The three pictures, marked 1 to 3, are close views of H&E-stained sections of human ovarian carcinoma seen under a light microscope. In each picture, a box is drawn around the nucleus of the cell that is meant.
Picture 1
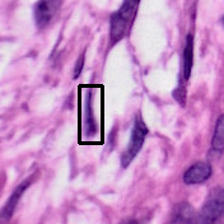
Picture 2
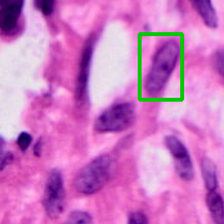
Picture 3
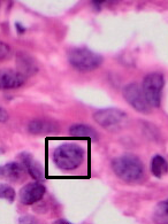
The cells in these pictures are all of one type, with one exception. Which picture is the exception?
3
